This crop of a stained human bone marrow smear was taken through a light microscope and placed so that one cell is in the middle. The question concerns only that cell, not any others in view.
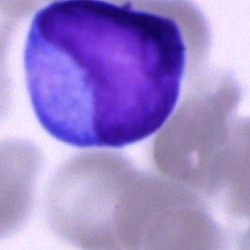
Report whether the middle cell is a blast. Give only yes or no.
yes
